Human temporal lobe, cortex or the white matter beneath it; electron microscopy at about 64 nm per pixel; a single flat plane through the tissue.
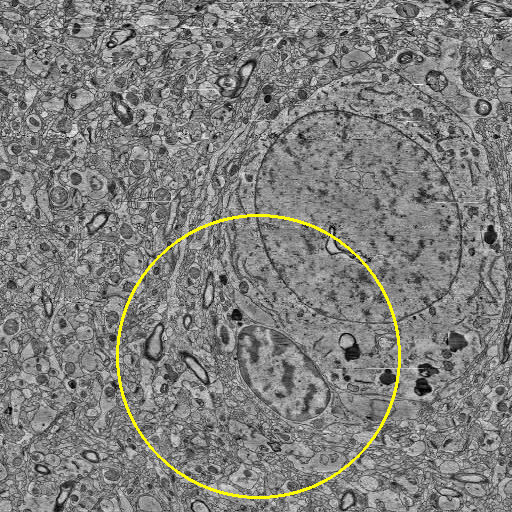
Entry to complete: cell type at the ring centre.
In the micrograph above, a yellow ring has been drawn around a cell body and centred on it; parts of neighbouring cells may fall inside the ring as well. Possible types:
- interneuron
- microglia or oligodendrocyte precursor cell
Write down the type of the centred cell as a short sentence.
The ring is centred on a microglial cell or oligodendrocyte precursor cell.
